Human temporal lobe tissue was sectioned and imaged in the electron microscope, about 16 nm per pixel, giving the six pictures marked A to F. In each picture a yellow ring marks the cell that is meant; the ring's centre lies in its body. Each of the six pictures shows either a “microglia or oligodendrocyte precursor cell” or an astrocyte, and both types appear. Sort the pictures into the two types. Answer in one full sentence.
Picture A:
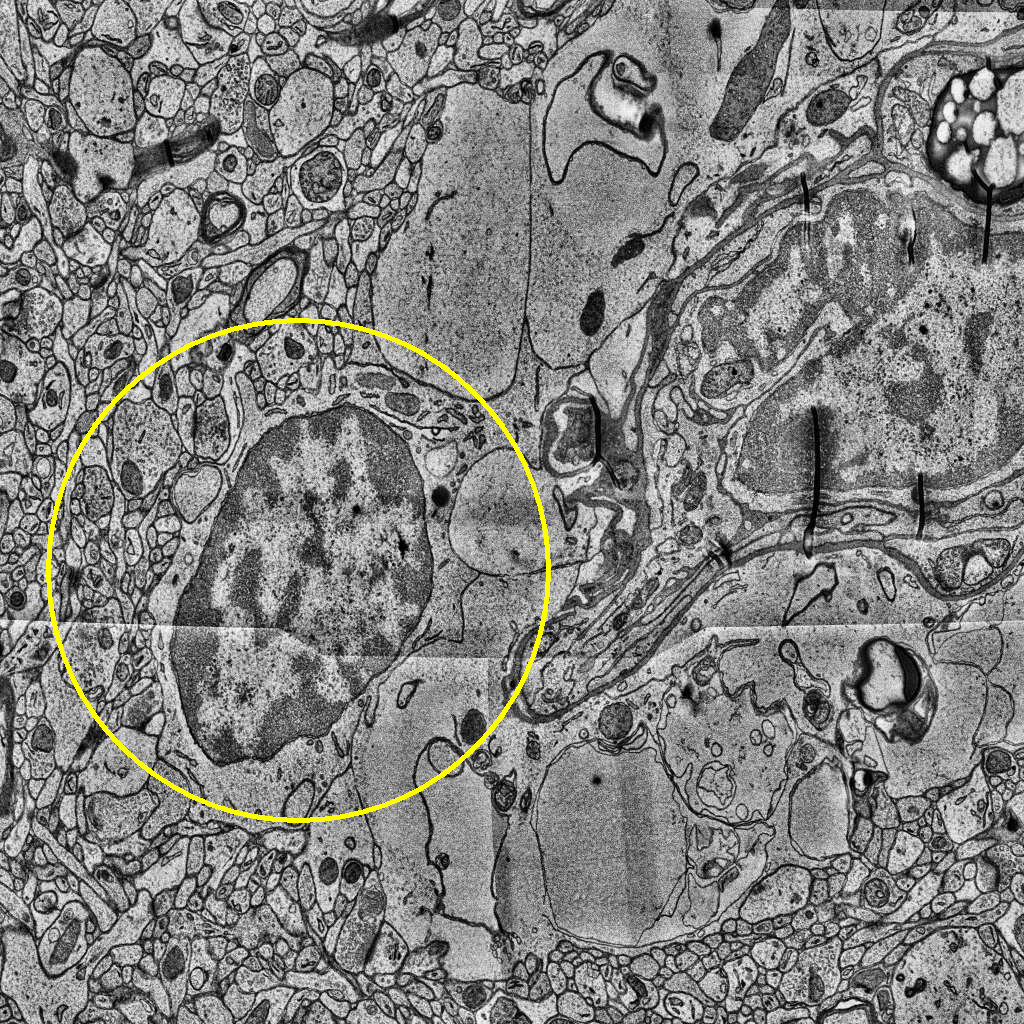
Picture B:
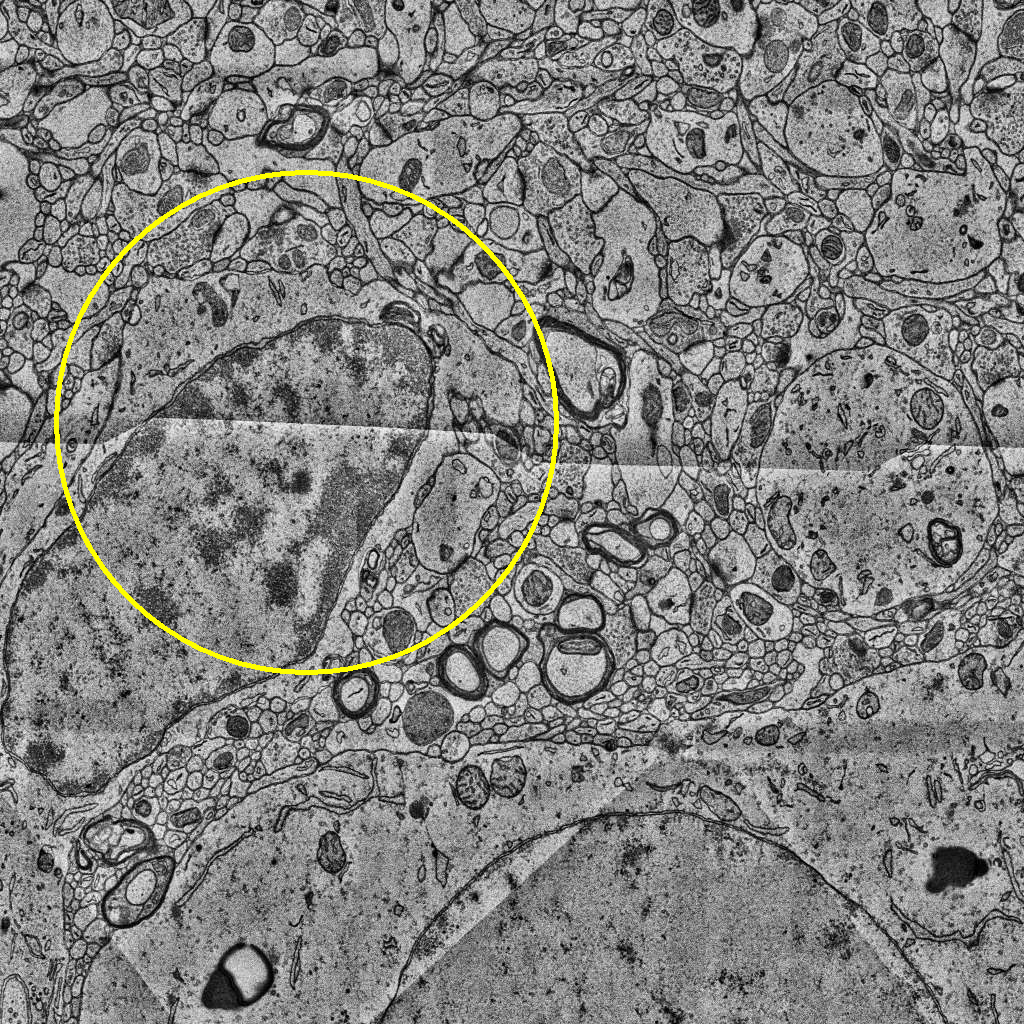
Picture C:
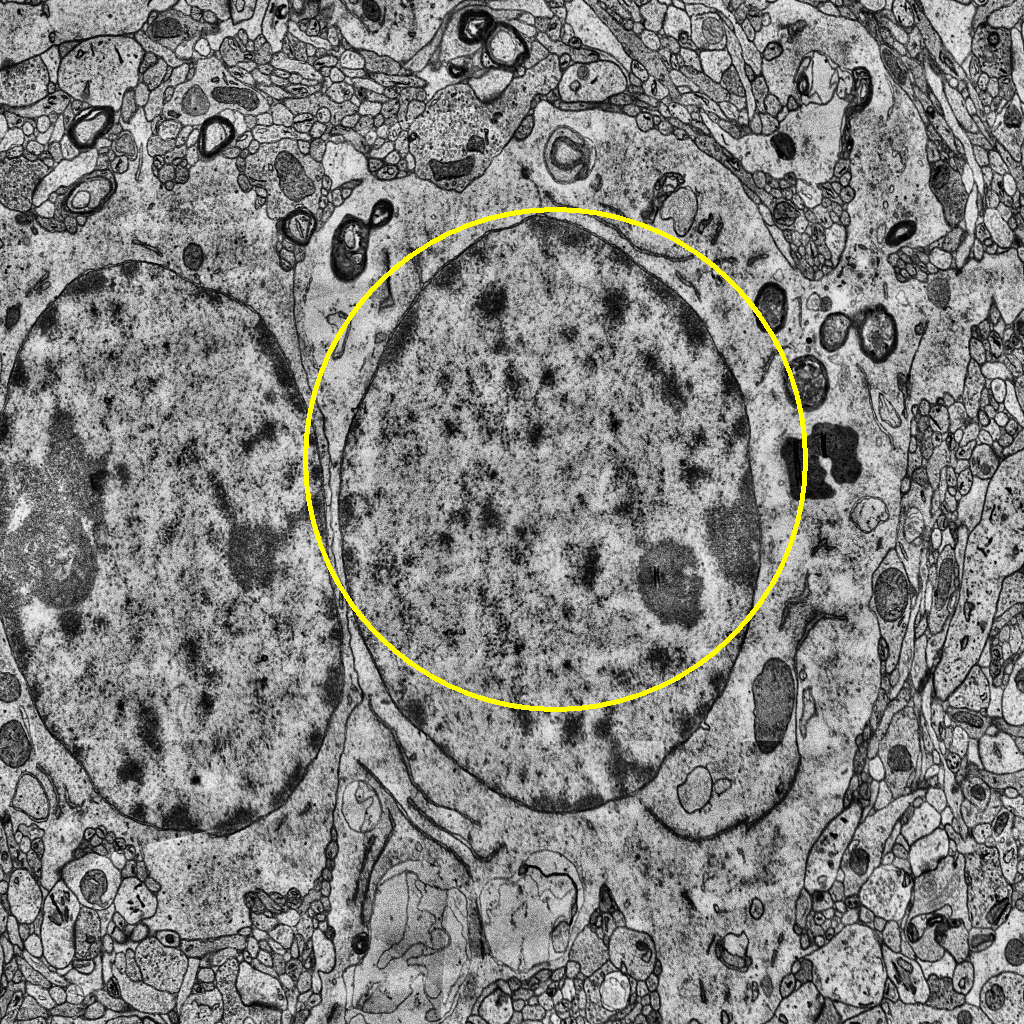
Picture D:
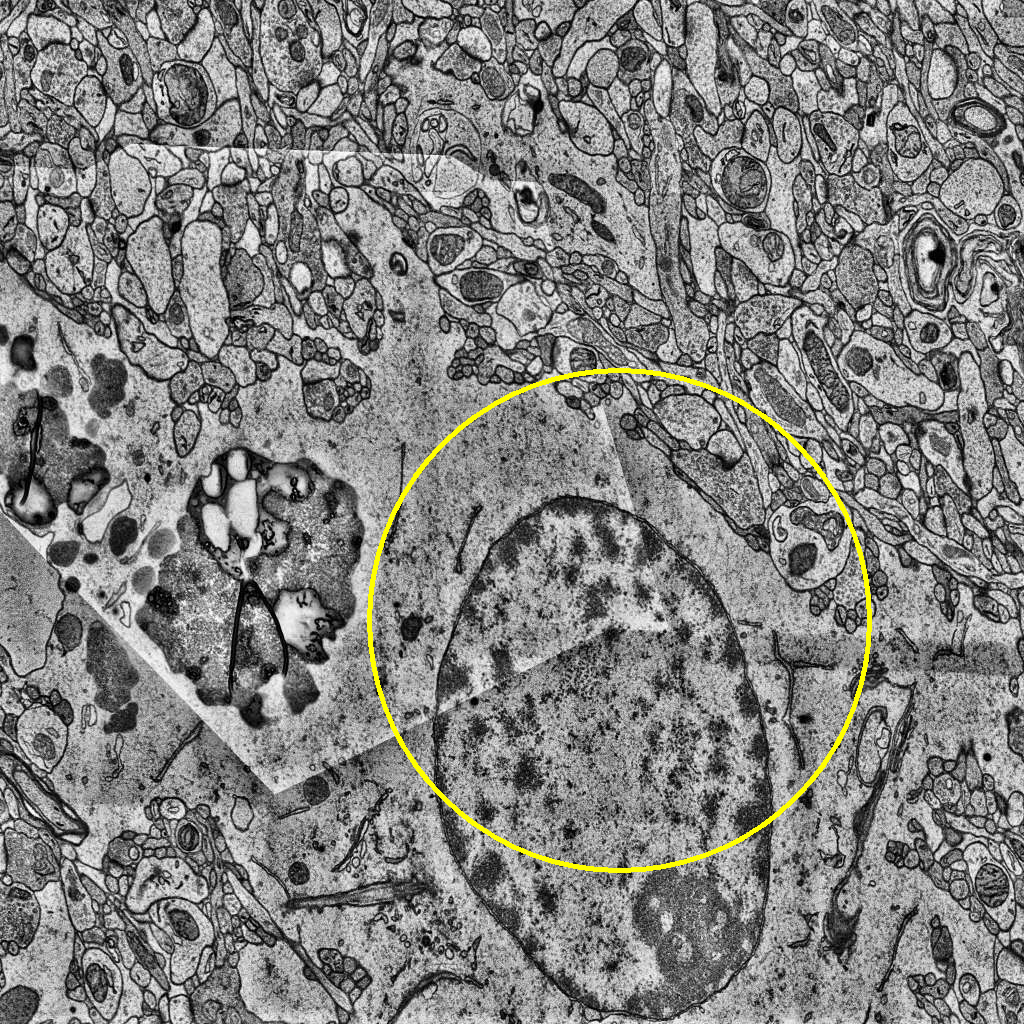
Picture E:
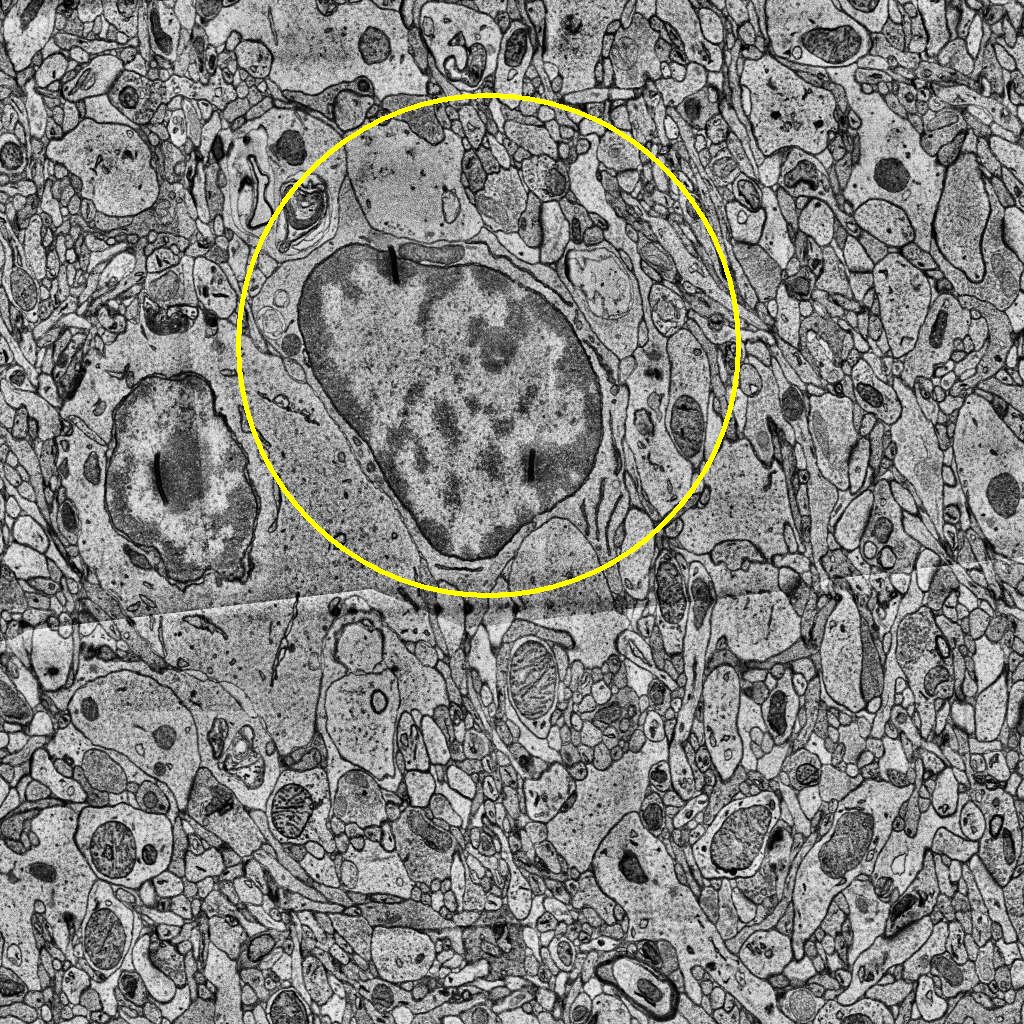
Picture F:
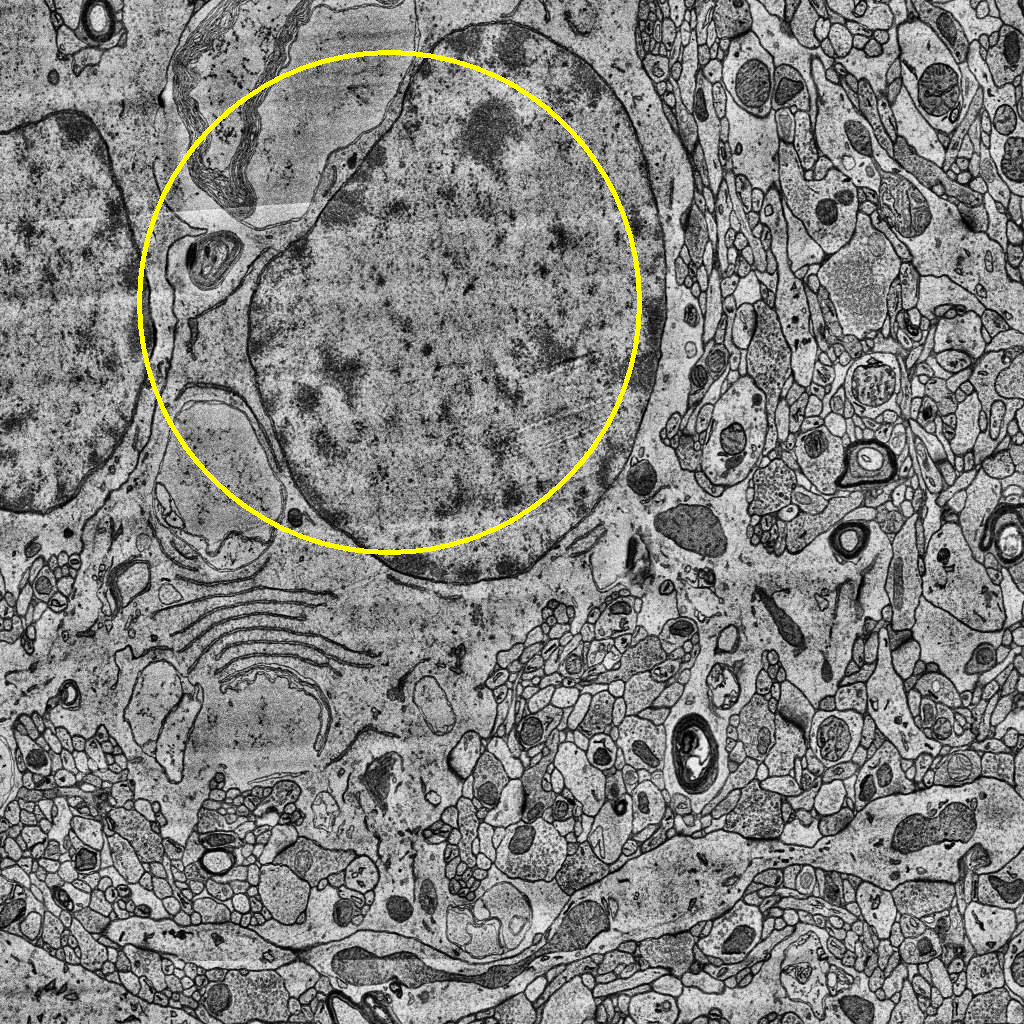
Pictures A, B and E show “microglia or oligodendrocyte precursor cells”, and pictures C, D and F show astrocytes.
